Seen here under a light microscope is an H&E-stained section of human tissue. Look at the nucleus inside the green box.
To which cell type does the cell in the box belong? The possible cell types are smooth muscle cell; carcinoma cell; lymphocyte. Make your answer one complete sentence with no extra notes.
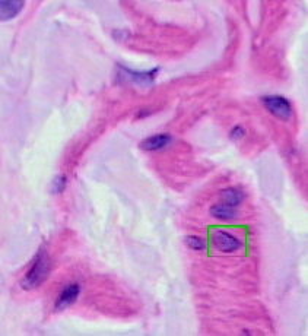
The cell type of the cell in the box is that of a smooth muscle cell.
